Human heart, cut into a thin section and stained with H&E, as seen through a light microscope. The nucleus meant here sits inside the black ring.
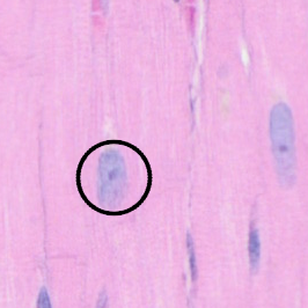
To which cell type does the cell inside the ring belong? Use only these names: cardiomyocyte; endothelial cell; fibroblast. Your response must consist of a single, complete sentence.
Recorded by type, the cell inside the ring is a cardiomyocyte.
